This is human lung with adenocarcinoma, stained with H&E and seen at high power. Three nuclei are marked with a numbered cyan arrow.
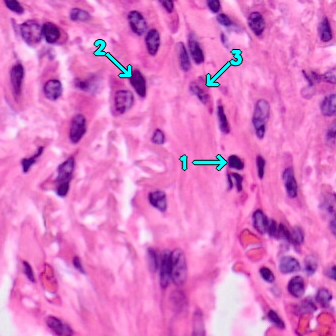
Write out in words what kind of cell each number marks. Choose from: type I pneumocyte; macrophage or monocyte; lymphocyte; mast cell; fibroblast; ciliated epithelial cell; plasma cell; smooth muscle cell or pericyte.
Cell 1 is a lymphocyte. Cells 2 and 3 are plasma cells.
